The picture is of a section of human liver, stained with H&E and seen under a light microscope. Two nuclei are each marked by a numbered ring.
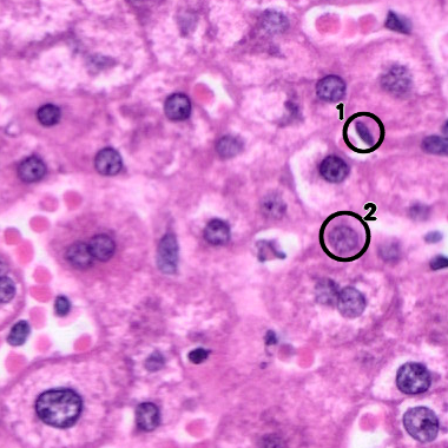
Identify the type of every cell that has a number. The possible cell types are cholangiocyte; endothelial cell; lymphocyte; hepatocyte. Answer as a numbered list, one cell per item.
1. endothelial cell
2. hepatocyte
